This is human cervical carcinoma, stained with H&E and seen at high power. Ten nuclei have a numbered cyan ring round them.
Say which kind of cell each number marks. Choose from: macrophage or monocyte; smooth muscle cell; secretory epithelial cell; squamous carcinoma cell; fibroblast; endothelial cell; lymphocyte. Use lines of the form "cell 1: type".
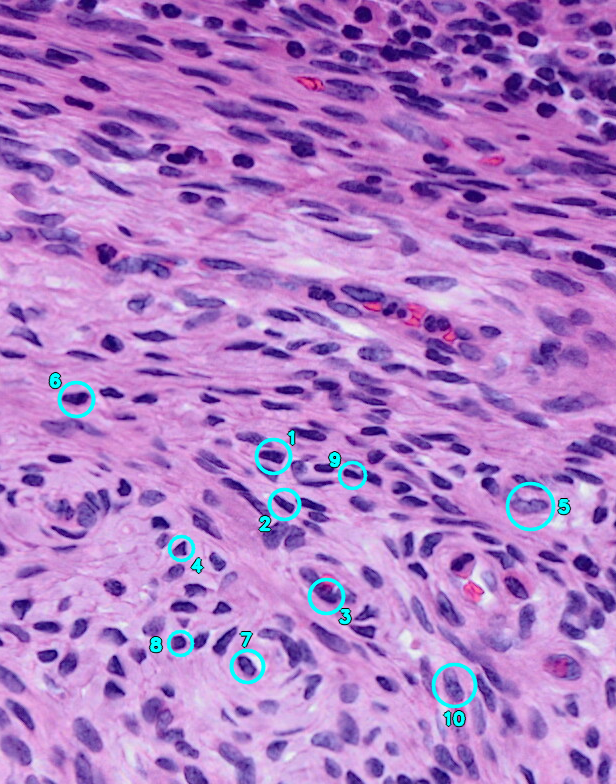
cell 1: fibroblast
cell 2: fibroblast
cell 3: endothelial cell
cell 4: fibroblast
cell 5: endothelial cell
cell 6: lymphocyte
cell 7: endothelial cell
cell 8: fibroblast
cell 9: fibroblast
cell 10: endothelial cell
